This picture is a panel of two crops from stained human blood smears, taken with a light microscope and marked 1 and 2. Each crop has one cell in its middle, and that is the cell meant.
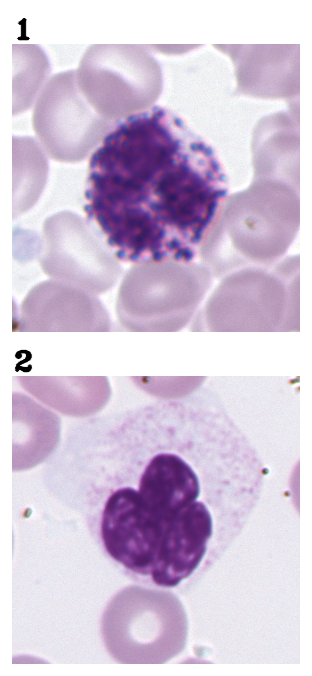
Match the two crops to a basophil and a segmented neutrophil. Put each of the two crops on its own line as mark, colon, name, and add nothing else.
1: basophil
2: segmented neutrophil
